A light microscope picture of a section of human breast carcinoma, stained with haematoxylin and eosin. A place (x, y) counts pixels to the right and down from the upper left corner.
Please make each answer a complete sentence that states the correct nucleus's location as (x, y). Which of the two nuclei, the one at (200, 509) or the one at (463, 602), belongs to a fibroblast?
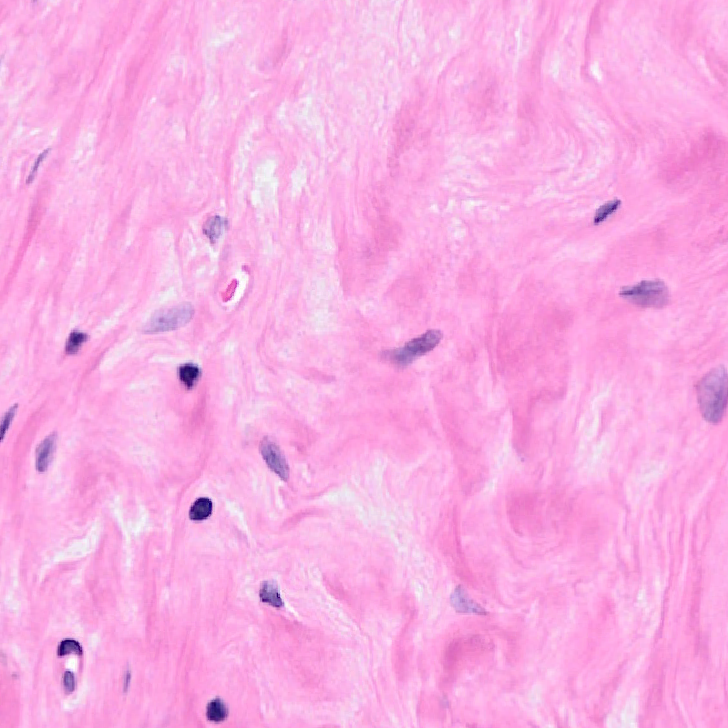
It is the nucleus at (463, 602) that belongs to a fibroblast.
